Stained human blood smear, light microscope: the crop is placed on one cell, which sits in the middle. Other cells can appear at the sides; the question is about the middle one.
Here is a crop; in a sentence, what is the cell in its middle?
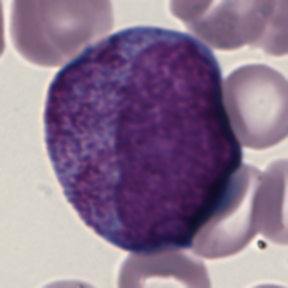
The middle of this crop is occupied by a promyelocyte.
